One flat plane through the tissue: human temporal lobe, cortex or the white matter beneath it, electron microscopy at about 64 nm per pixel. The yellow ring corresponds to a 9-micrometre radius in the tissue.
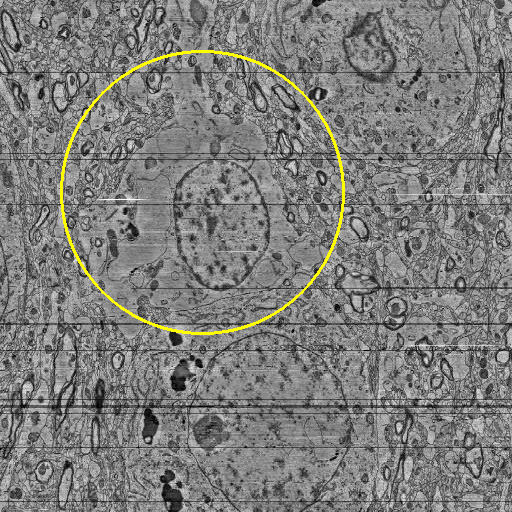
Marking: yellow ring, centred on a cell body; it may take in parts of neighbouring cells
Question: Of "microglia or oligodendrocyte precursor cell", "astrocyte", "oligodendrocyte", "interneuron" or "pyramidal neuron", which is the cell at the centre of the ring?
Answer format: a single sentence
The ring surrounds the body of an astrocyte.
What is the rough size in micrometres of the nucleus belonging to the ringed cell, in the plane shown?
The nucleus of the ringed cell is approximately 9 by 6 micrometres in this plane.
